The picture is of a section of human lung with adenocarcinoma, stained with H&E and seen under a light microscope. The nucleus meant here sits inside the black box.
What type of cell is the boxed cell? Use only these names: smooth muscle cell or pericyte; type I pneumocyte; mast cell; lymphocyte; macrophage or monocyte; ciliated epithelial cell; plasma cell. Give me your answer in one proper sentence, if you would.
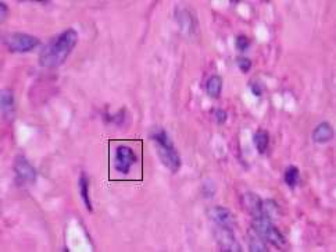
Cytologically, the boxed cell is to be regarded as a mast cell.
